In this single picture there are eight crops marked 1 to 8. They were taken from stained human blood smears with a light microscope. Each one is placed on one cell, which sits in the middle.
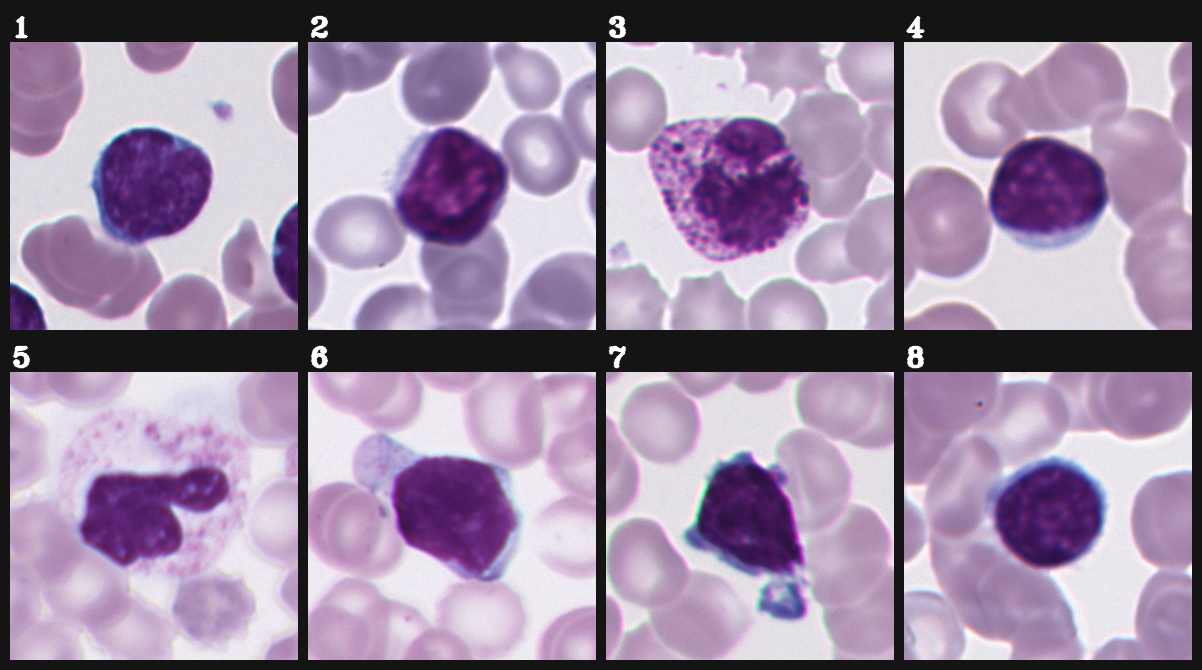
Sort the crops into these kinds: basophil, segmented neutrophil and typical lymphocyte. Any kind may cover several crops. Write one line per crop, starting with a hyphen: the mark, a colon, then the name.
- 1: typical lymphocyte
- 2: typical lymphocyte
- 3: basophil
- 4: typical lymphocyte
- 5: segmented neutrophil
- 6: typical lymphocyte
- 7: typical lymphocyte
- 8: typical lymphocyte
